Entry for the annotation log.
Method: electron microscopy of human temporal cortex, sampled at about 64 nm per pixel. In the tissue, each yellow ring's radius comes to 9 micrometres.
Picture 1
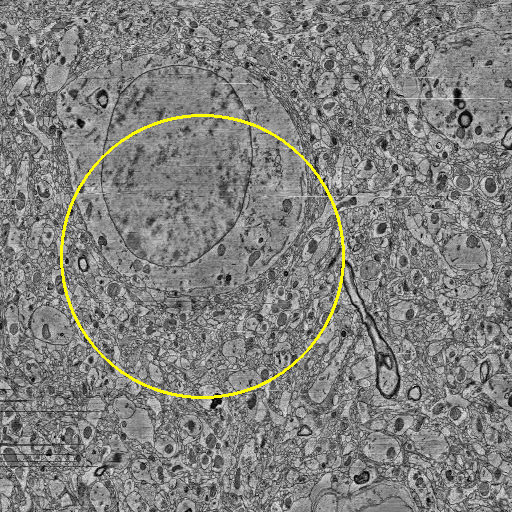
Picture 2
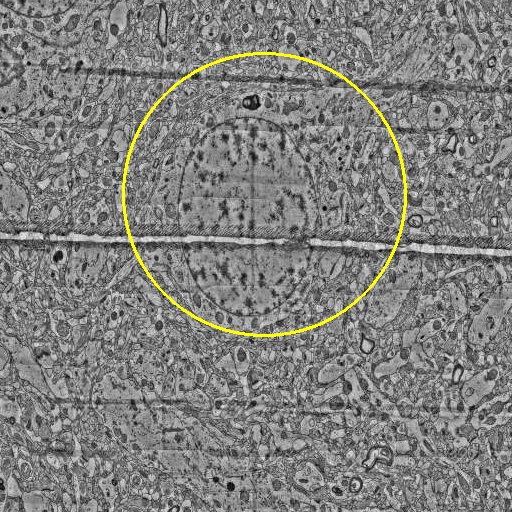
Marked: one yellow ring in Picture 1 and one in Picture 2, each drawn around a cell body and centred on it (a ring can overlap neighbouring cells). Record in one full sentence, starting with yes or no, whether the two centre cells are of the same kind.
Yes, both cells are of the same kind.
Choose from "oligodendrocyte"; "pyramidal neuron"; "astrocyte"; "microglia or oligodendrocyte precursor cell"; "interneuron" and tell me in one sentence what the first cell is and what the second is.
Both cells are the same kind, each one being a pyramidal neuron.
